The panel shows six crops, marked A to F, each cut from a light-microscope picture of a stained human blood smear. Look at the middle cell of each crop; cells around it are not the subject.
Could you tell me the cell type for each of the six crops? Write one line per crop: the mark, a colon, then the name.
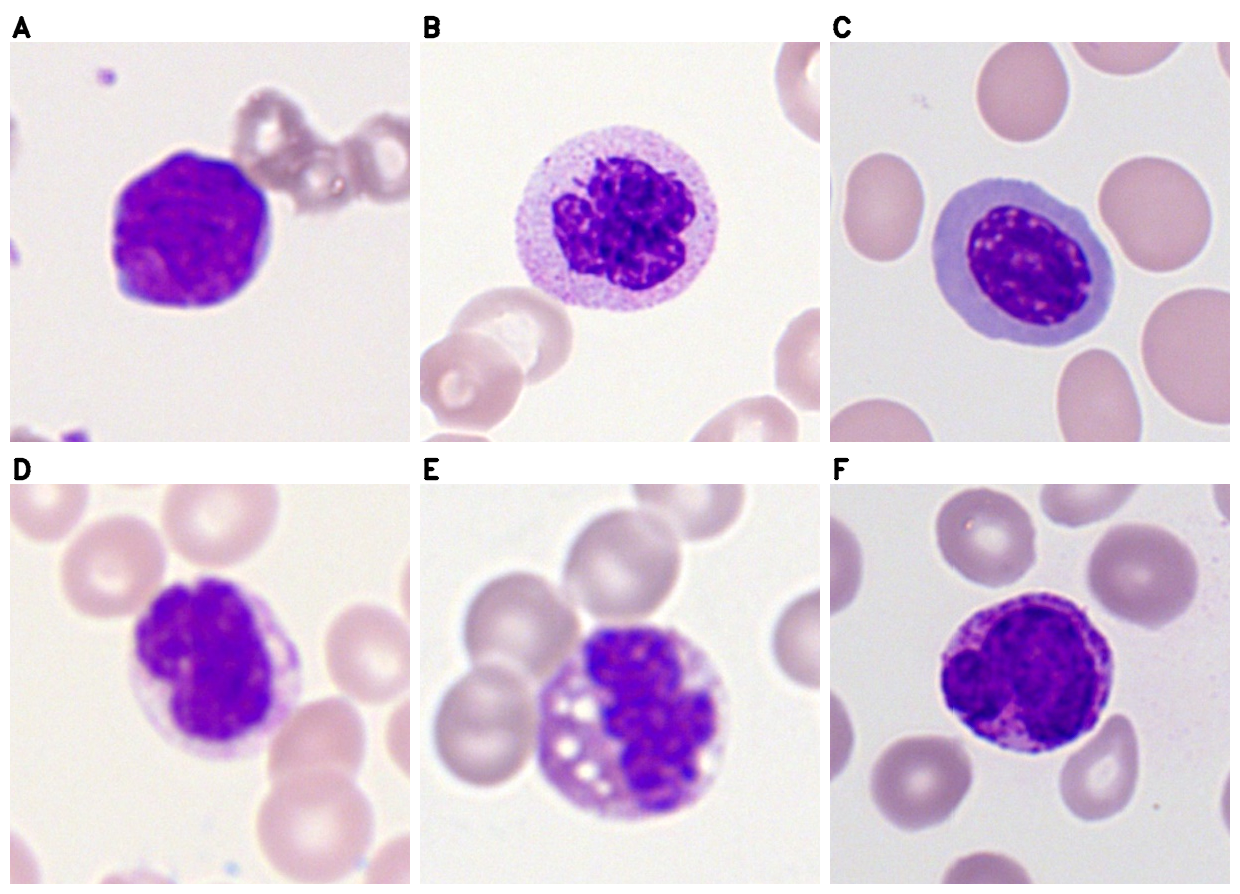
A: myeloblast
B: segmented neutrophil
C: erythroblast
D: basophil
E: eosinophil
F: basophil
